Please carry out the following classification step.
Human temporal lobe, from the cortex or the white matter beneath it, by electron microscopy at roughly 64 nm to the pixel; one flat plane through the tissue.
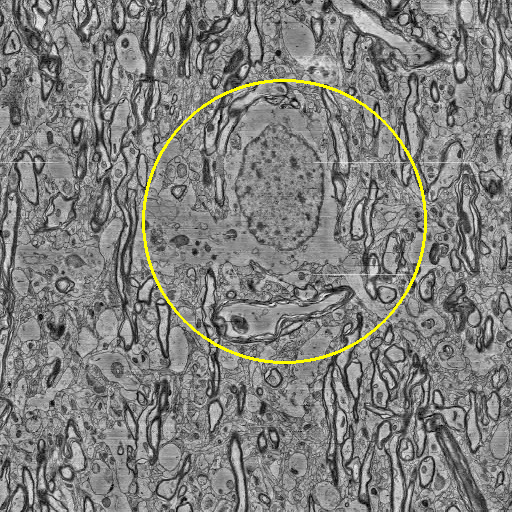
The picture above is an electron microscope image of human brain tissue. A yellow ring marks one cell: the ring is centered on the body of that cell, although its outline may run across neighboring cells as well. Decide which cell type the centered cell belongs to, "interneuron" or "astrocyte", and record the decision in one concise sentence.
The cell centered in the yellow ring is an astrocyte.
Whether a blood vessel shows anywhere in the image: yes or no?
No.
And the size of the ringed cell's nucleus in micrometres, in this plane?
The ringed cell's nucleus is about 8 micrometres long and 6 micrometres wide in this plane.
